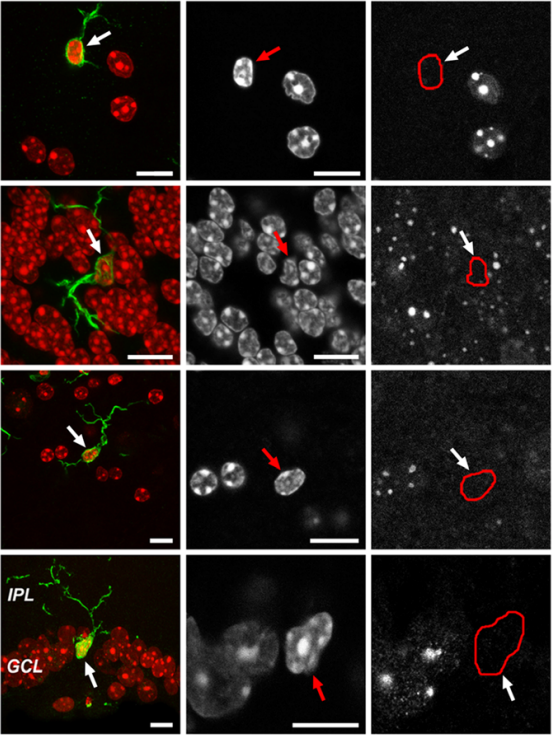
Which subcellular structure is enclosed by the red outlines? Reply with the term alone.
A: nuclei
